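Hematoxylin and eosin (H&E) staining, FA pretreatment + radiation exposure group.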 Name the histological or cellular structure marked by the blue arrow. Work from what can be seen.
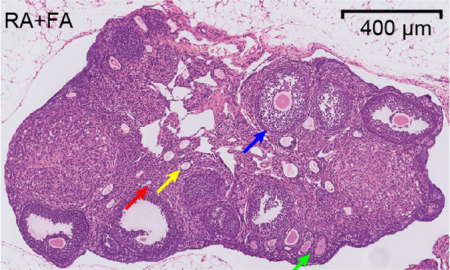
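The arrow points at a large round follicle with a central pink oocyte. Several layers of granulosa cells surround the oocyte. On this evidence: antral follicles.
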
